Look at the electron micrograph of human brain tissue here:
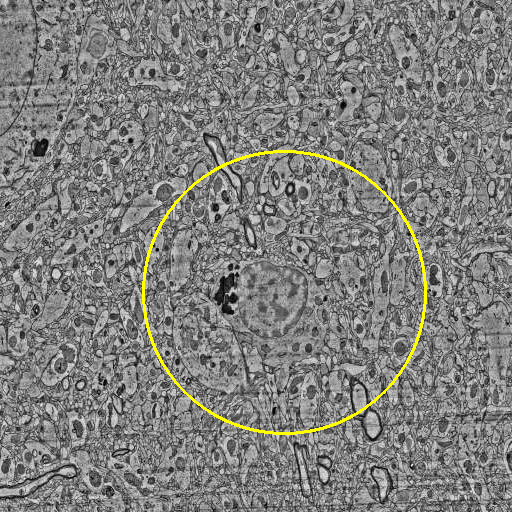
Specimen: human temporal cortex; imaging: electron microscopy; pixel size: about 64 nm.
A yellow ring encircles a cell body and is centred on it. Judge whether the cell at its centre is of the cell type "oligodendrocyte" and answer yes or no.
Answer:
yes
